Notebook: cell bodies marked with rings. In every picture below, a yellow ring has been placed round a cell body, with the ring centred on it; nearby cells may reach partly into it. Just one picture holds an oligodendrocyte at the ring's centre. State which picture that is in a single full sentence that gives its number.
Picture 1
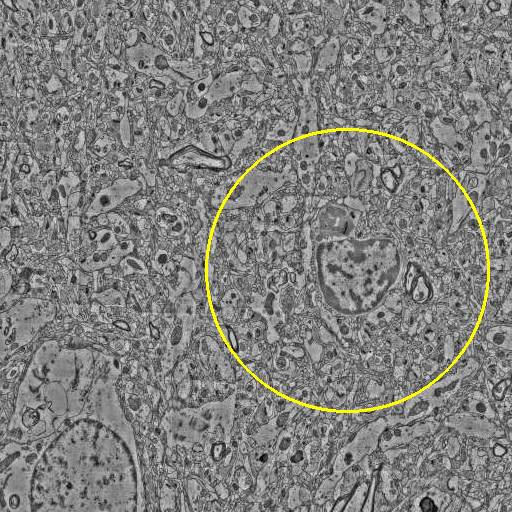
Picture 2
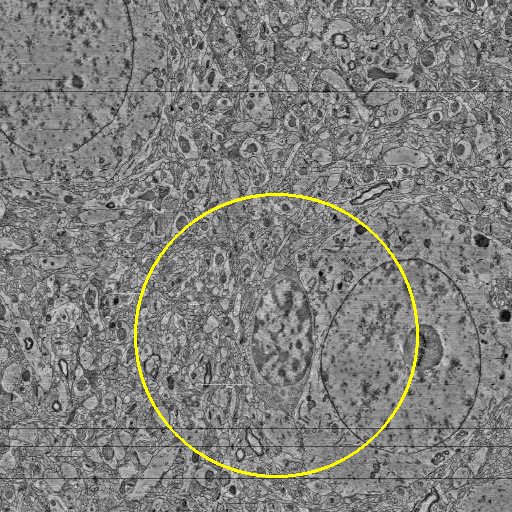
It is picture 2 whose ring has the wanted cell right at its centre.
